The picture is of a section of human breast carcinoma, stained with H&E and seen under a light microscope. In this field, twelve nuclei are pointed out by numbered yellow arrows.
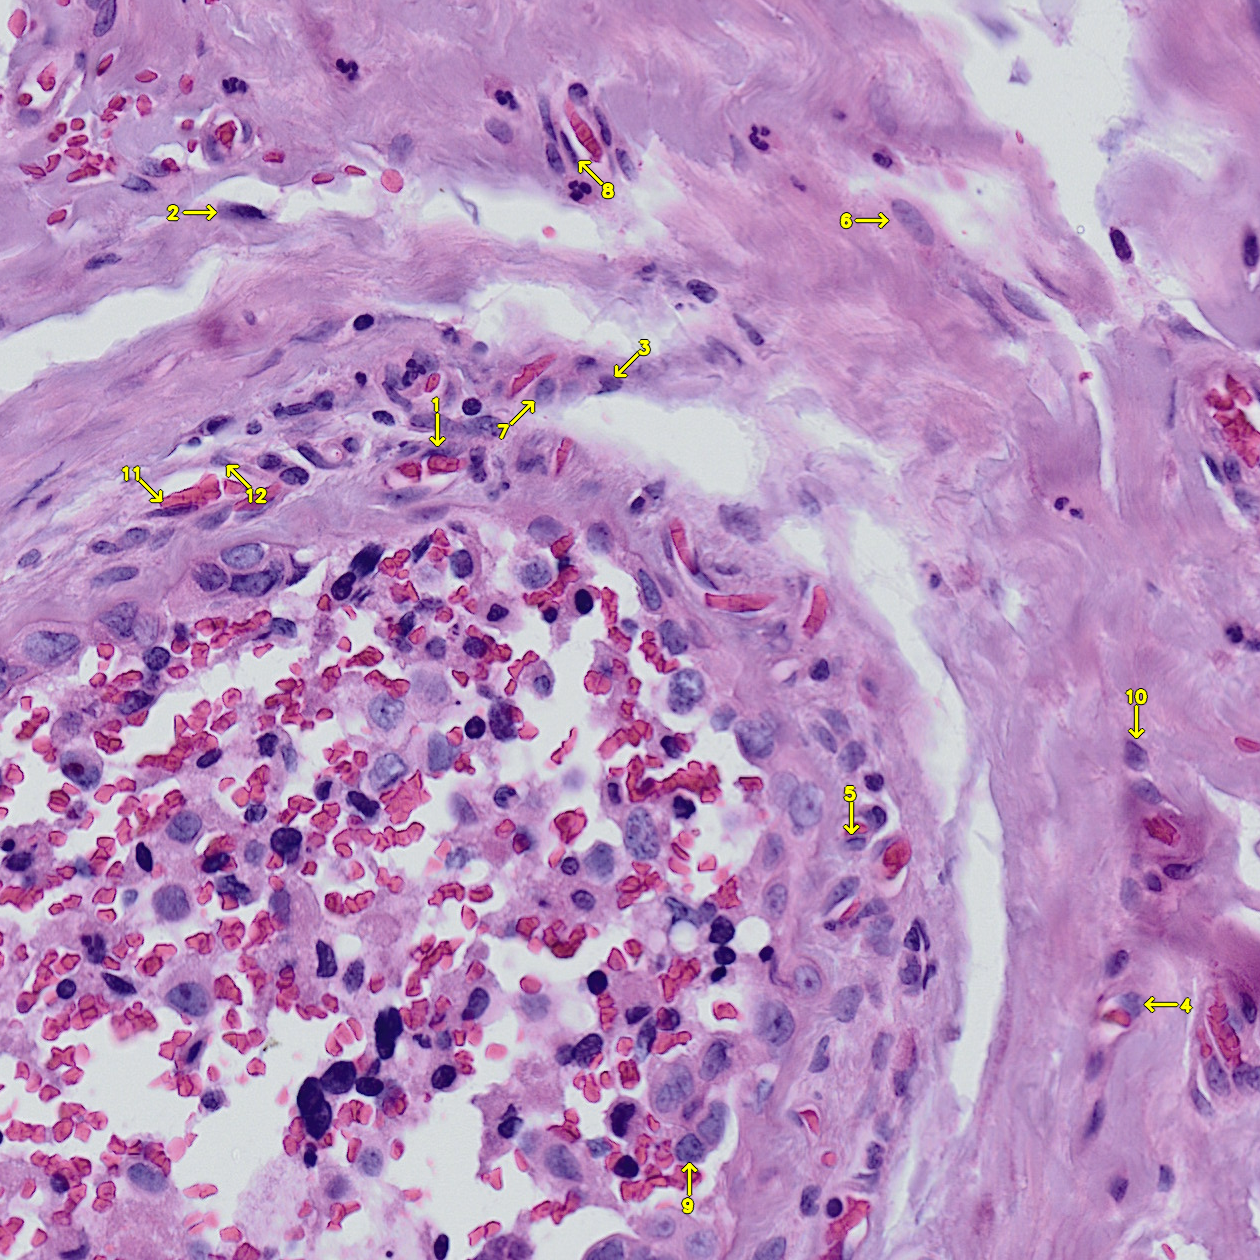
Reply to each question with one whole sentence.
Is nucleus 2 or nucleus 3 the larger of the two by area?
Nucleus 2 is the larger one, covering about 2 times the area of nucleus 3.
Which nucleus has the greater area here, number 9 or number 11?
Number 9 is larger; its area is about 2 times that of number 11.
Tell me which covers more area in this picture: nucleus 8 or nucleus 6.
It is nucleus 6, which covers about 3 times the area of nucleus 8.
